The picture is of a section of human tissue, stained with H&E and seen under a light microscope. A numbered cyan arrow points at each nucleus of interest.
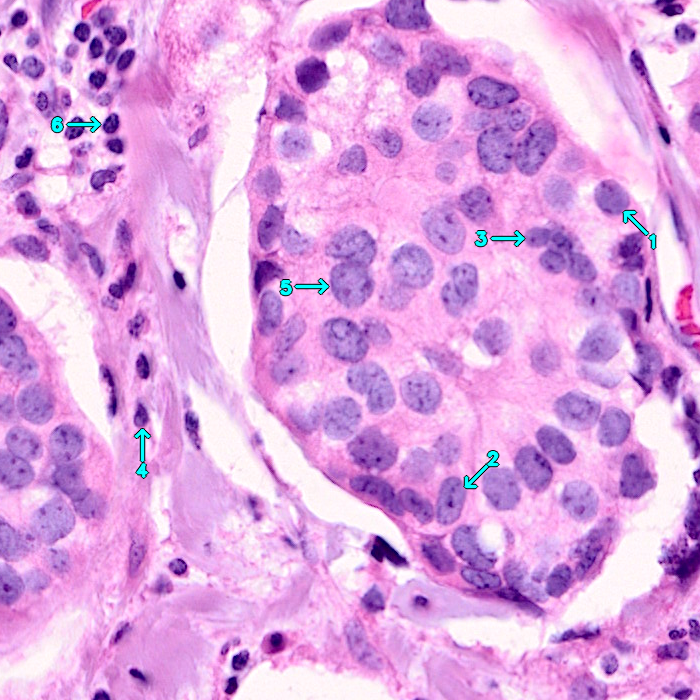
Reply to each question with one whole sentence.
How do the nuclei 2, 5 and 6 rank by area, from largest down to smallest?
Largest first, the order by area is 5, 2, 6.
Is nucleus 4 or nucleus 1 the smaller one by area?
Number 4 is smaller, since number 1 takes up about 2.5 times as much area.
